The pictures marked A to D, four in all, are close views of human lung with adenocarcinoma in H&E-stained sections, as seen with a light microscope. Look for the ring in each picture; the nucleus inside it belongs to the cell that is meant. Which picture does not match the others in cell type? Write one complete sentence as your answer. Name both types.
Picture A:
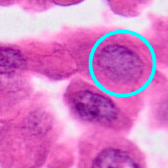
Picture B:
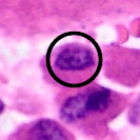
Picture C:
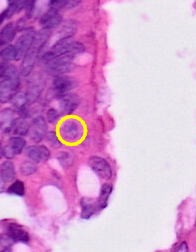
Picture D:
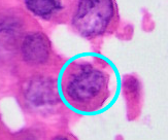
All pictures except C show carcinoma cells; picture C shows a ciliated epithelial cell.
